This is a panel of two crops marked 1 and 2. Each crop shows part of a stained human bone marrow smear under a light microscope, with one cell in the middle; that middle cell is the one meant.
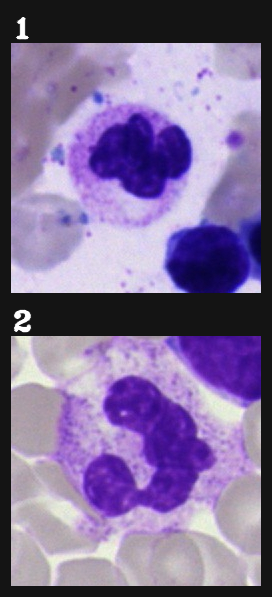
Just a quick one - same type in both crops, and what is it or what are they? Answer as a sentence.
Yes, both crops show segmented neutrophils, one in each.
